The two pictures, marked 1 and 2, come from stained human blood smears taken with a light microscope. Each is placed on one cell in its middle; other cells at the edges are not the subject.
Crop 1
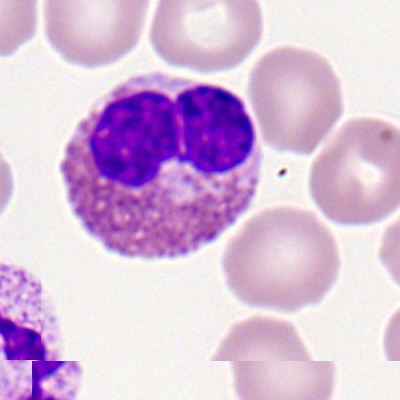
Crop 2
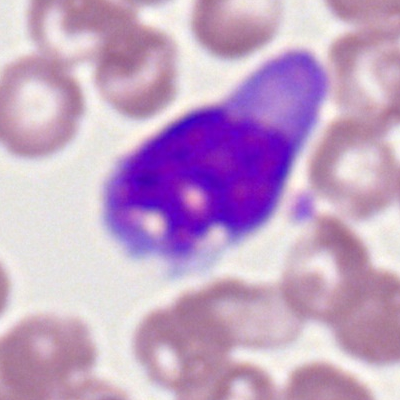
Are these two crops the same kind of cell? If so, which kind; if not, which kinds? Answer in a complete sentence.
No, while an eosinophil is found in crop 1, a monocyte is found in crop 2.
